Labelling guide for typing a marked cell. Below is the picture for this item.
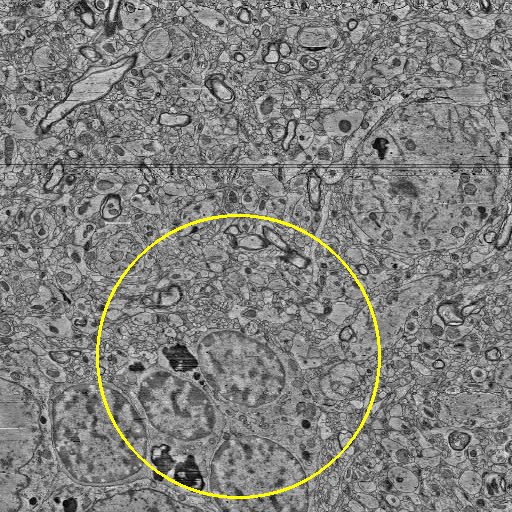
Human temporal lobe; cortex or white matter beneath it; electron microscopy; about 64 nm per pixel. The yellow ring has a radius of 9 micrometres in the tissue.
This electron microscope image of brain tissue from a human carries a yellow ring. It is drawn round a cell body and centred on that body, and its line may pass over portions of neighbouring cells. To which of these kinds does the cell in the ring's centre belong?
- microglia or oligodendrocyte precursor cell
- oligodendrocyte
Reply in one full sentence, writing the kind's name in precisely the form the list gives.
Here we have an oligodendrocyte at the centre of the yellow ring in the picture.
